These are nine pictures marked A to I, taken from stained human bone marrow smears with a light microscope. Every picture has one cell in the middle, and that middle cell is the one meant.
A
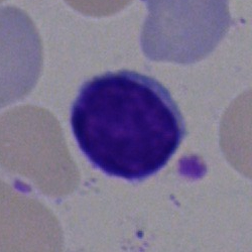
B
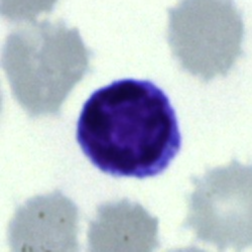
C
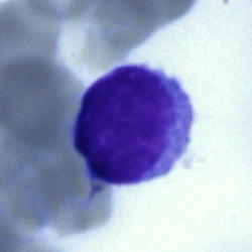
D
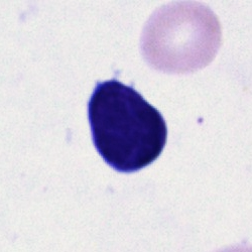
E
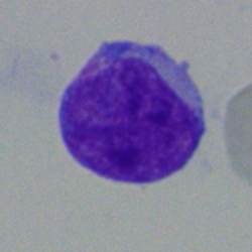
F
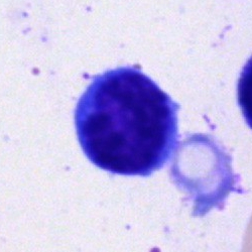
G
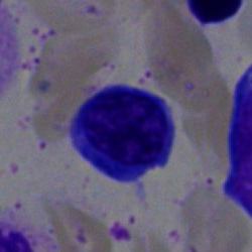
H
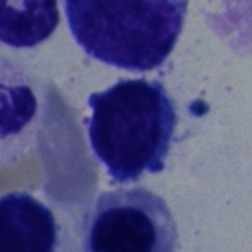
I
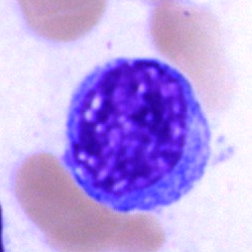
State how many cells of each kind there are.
lymphocyte: 7
blast: 2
